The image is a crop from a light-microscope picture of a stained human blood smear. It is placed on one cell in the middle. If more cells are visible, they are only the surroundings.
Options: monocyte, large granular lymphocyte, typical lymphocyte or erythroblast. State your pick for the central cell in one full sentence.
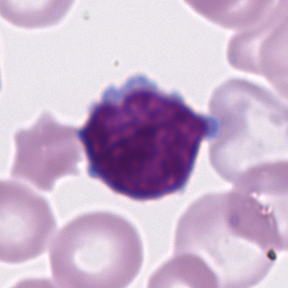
Centred in the crop is a typical lymphocyte.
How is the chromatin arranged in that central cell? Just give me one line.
Its chromatin is clumped in a coarse pattern.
